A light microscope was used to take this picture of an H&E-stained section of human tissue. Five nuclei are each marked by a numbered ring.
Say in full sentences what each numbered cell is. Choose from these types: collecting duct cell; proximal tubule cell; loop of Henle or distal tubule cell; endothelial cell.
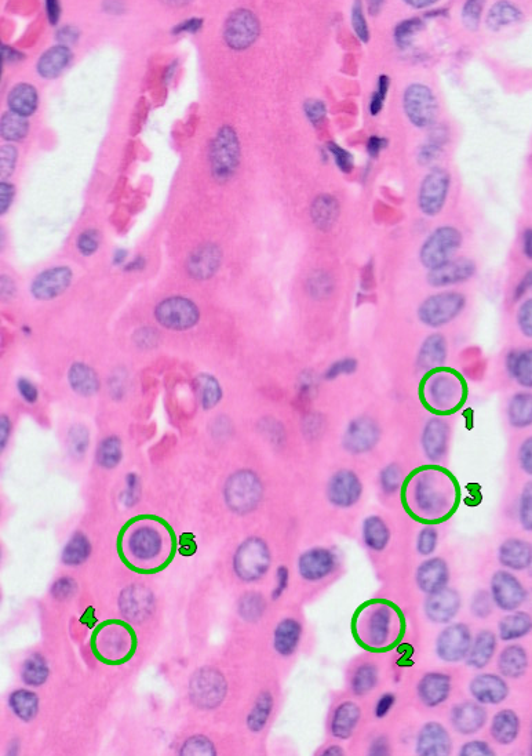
Cells 1 and 3 are collecting duct cells. Cell 2 is a loop of Henle or distal tubule cell. Cells 4 and 5 are proximal tubule cells.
